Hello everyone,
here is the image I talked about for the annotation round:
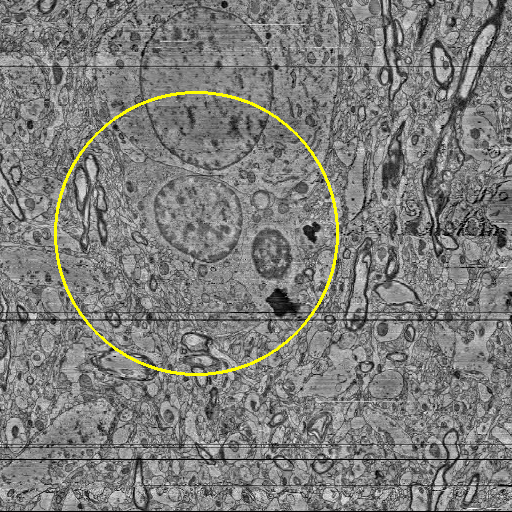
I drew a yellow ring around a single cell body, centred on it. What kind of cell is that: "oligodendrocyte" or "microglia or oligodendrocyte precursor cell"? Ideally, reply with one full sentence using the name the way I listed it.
The cell your yellow ring is centred on is an oligodendrocyte, going by your list.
